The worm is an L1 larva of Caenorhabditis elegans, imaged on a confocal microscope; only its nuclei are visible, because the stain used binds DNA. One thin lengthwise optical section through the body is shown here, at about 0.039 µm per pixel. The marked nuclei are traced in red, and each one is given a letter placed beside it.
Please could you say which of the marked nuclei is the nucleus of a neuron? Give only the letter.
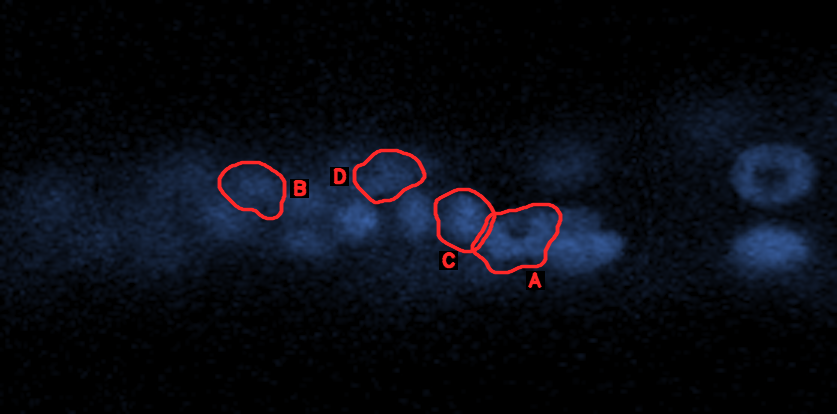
B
